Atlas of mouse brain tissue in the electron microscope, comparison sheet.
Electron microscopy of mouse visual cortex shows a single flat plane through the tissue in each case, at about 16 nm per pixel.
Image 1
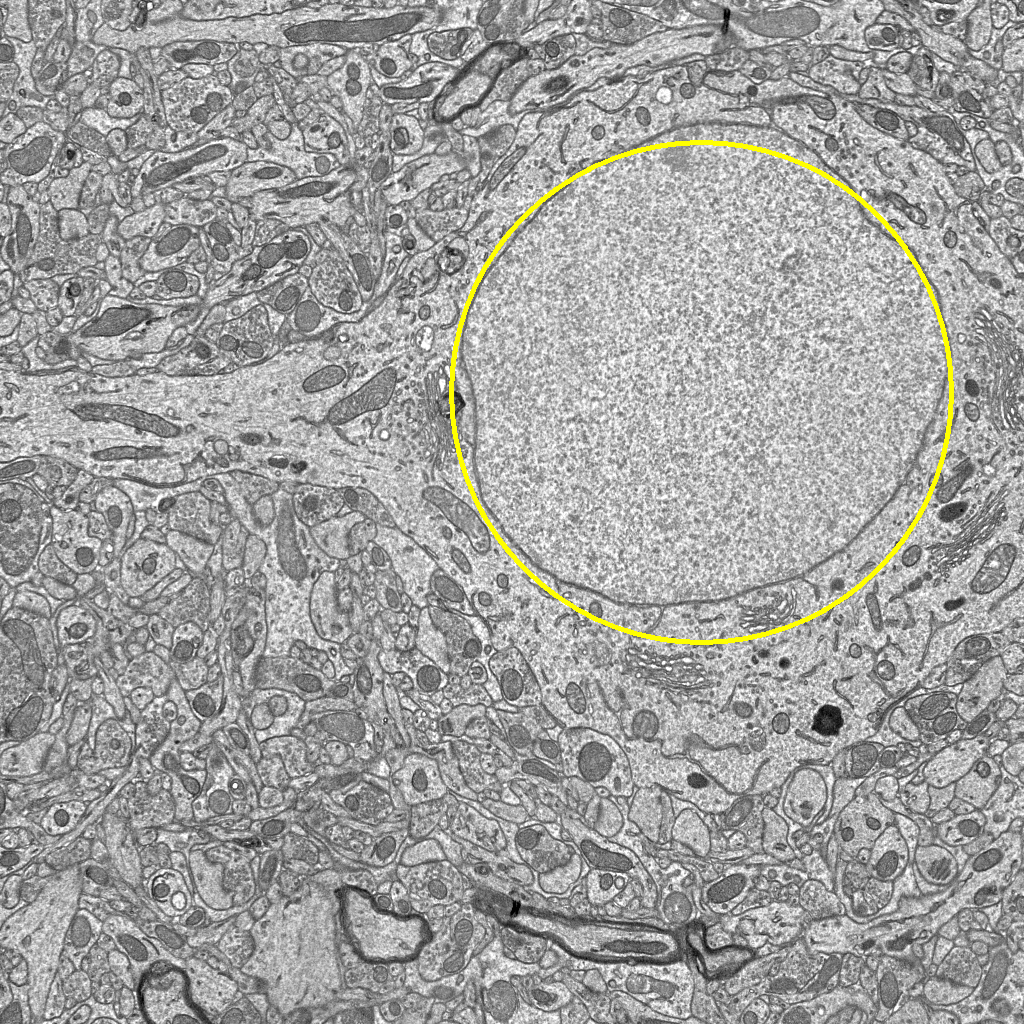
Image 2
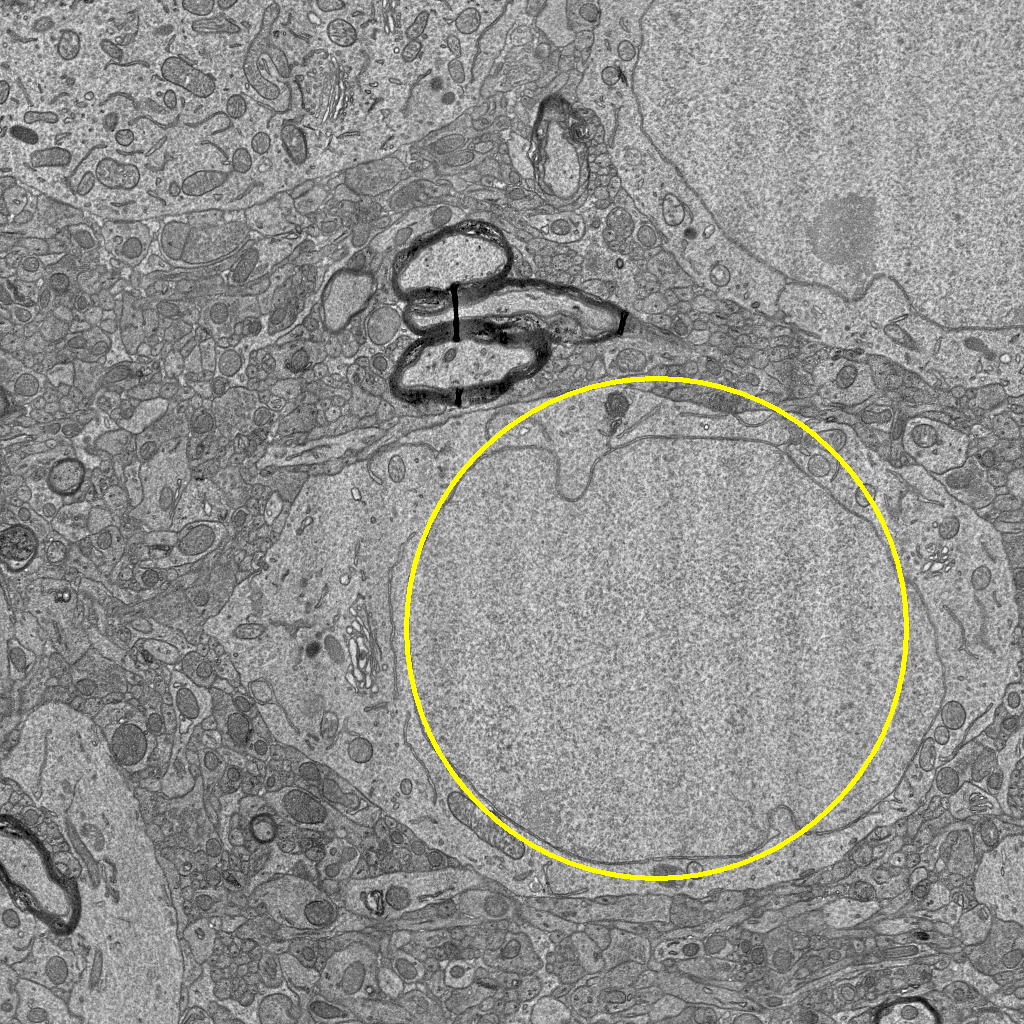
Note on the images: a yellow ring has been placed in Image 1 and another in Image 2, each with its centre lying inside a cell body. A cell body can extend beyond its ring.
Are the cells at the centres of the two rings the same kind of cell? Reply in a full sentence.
Yes, both cells are of the same kind.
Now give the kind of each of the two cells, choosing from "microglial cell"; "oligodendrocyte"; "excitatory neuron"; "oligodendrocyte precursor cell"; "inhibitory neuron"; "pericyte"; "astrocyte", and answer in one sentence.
Each cell, in the first picture and the second, is an excitatory neuron.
